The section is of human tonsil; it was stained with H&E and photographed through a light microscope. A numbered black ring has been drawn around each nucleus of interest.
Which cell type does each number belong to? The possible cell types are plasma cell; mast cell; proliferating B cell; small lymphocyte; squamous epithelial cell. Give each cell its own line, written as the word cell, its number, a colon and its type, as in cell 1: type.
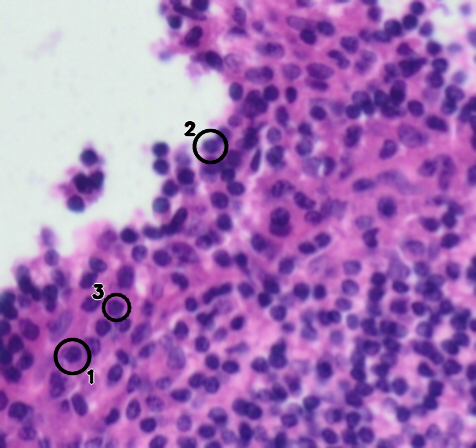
cell 1: plasma cell
cell 2: small lymphocyte
cell 3: plasma cell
